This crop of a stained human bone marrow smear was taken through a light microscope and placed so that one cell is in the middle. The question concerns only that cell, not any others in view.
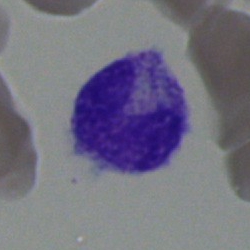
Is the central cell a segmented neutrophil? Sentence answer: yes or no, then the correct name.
No, the centre of the crop is taken up by a band neutrophil, not a segmented neutrophil.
